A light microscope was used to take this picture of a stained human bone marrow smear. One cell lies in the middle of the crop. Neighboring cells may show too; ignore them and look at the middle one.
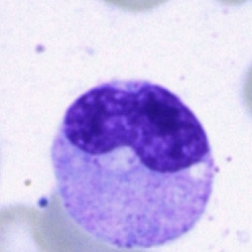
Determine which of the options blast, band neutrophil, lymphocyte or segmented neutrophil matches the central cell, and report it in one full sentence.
Seen at the centre of the crop is a band neutrophil.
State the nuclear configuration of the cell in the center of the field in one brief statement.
Round, oval or kidney-shaped, the nucleus is one compact mass.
